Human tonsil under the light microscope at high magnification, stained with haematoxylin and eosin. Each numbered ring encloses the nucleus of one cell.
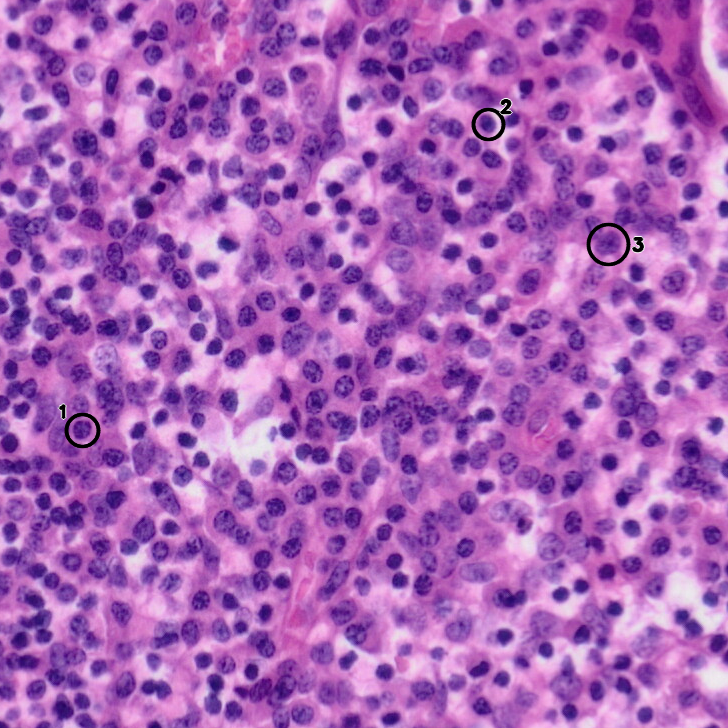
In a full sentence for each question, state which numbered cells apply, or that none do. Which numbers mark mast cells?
As regards the numbered cells, mast cells are not represented.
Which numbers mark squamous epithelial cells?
A single numbered cell, cell 3, is a squamous epithelial cell.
